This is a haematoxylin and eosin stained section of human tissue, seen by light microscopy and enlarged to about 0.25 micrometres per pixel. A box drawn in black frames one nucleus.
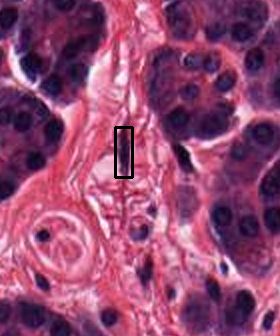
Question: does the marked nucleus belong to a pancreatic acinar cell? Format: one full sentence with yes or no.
No, the marked nucleus is that of a supporting cell instead of a pancreatic acinar cell.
